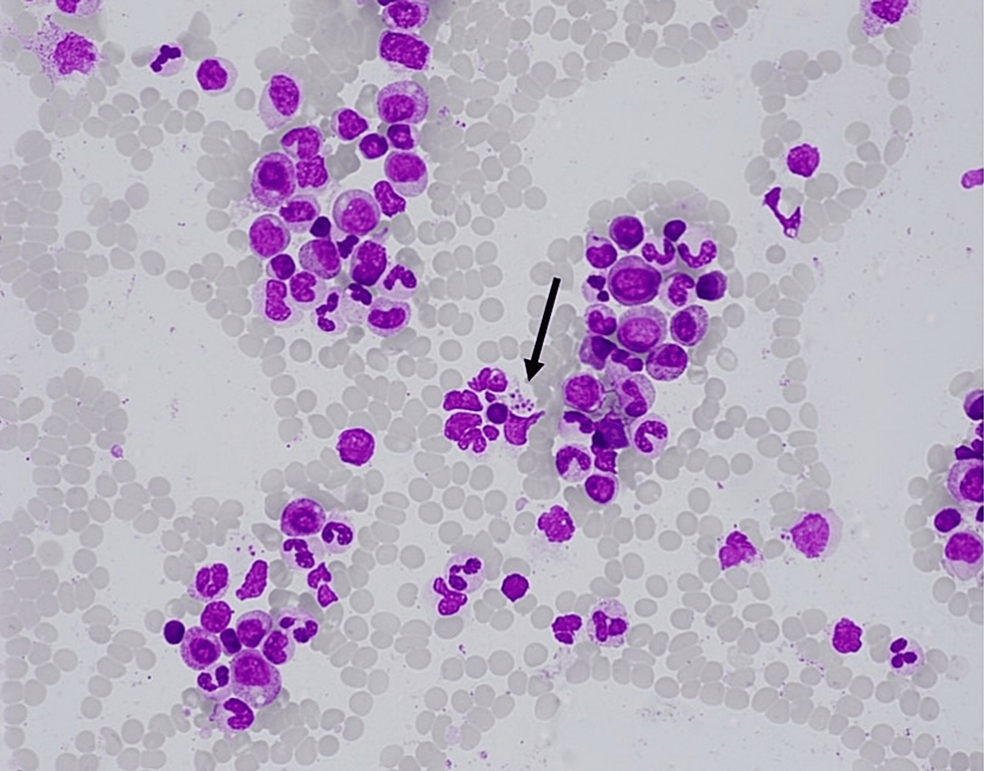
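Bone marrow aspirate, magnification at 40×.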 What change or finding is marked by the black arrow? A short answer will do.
Histiocytes engulfing platelets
